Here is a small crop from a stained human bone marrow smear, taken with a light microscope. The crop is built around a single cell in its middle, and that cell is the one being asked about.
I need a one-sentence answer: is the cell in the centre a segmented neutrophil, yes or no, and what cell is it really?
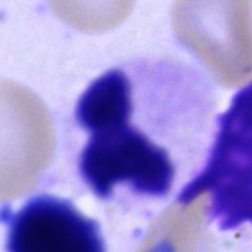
Yes, the cell at the middle is a segmented neutrophil.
